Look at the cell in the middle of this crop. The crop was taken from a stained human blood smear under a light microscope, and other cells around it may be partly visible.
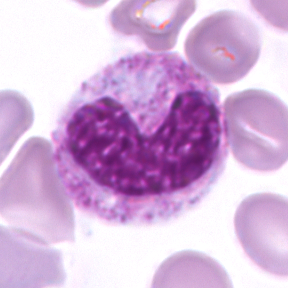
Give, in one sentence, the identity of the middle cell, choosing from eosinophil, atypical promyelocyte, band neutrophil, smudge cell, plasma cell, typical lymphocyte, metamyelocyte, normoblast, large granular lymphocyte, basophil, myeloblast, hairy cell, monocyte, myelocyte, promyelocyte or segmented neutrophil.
The middle of this crop holds a band neutrophil.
